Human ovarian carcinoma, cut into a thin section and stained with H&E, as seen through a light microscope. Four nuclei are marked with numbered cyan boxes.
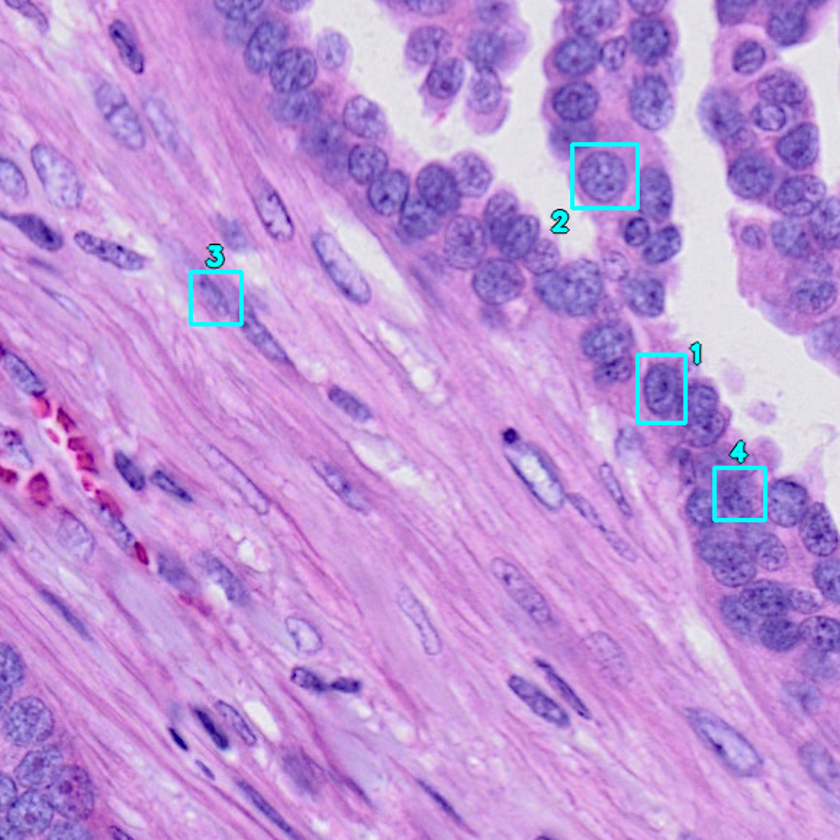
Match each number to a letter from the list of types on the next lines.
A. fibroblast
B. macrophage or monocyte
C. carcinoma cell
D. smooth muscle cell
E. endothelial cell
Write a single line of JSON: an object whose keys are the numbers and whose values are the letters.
{"1": "C", "2": "C", "3": "A", "4": "C"}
